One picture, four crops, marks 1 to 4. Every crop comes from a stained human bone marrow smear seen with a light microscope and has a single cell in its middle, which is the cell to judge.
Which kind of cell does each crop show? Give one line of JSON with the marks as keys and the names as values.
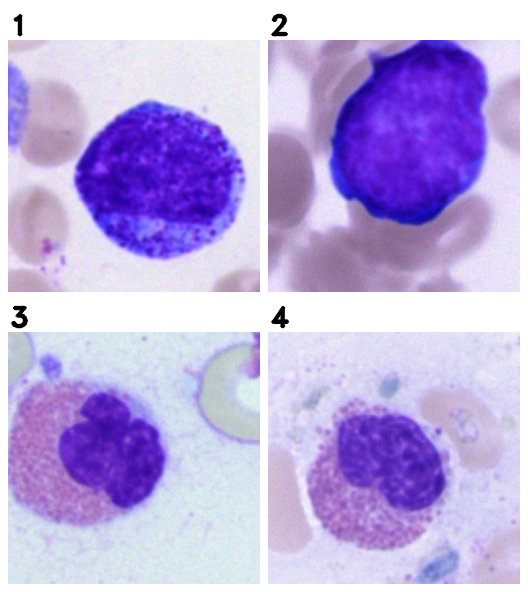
{"1": "promyelocyte", "2": "blast", "3": "eosinophil", "4": "eosinophil"}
